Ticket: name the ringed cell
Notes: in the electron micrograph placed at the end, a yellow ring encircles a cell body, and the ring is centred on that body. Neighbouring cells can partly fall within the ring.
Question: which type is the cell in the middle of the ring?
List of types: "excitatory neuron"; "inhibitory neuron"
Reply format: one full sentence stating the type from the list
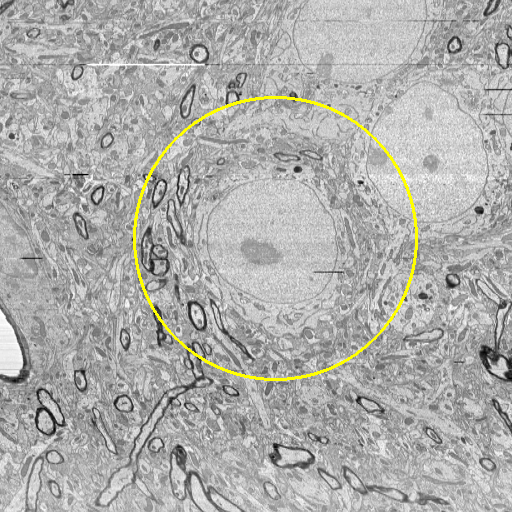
The cell sitting at the centre of the yellow ring is an excitatory neuron.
